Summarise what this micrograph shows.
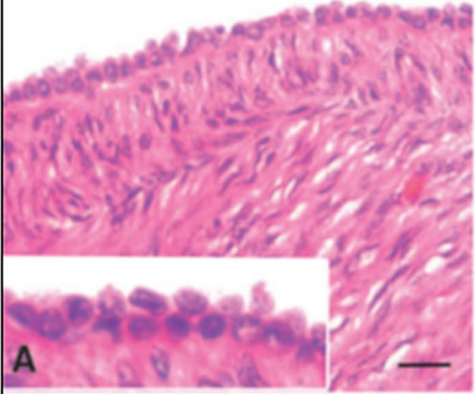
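This is ovarian cortex covered by its surface epithelium, a single layer of cuboidal to low columnar cells with round, darkly purple nuclei and a thin rim of pink cytoplasm, packed closely side by side along the free surface. The enlarged inset shows these surface cells crowded in a row on a thin pink base. Beneath the surface layer lies dense stroma made of spindle-shaped cells with elongated, dark nuclei set in pink fibres, running in long streams that curve into whorls. A small red blood cell-filled spot lies within the stroma.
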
